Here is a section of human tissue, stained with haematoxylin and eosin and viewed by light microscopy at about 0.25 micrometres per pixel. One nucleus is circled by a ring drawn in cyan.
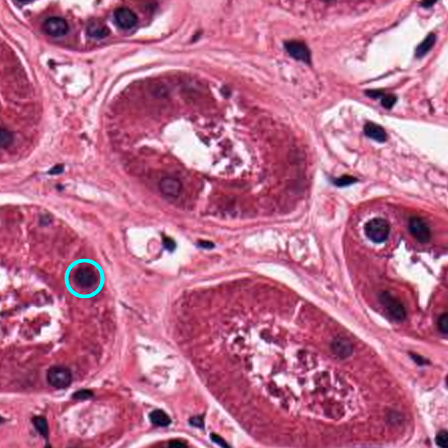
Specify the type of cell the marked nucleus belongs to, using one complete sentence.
The marked nucleus is contained in a proximal tubule cell.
